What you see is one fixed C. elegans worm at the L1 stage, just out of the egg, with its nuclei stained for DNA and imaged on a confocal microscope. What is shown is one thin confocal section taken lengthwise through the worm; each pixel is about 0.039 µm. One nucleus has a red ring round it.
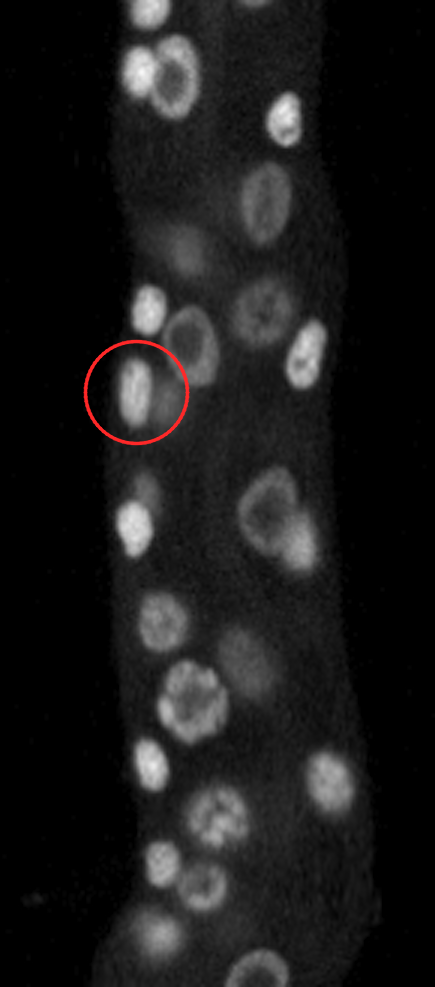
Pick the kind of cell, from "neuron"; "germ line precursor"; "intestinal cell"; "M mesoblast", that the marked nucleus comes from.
neuron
